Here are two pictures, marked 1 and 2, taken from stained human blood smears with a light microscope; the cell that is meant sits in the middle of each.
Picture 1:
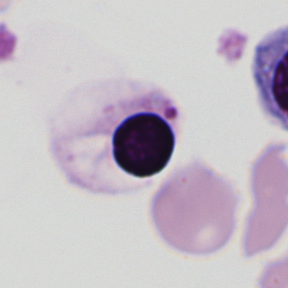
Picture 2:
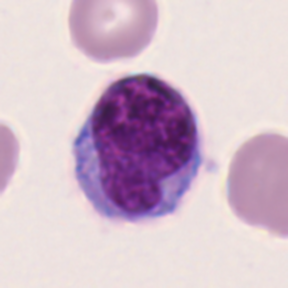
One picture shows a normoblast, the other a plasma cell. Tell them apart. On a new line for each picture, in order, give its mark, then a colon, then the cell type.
1: normoblast
2: plasma cell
